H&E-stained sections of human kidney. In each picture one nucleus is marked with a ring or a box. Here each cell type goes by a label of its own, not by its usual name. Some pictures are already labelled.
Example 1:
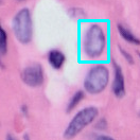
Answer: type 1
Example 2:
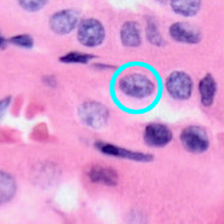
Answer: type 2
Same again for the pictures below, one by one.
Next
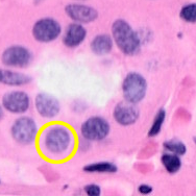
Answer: type 1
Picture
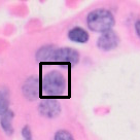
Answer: type 1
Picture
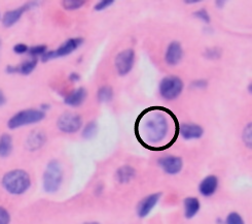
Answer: type 2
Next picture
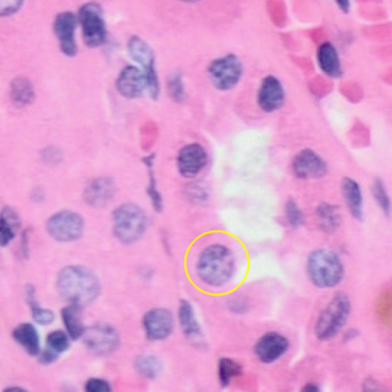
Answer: type 2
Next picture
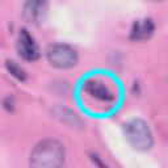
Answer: type 1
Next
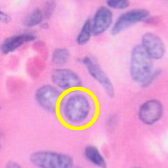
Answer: type 1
